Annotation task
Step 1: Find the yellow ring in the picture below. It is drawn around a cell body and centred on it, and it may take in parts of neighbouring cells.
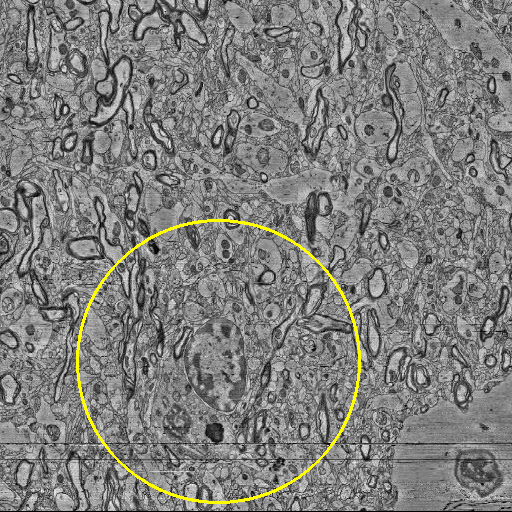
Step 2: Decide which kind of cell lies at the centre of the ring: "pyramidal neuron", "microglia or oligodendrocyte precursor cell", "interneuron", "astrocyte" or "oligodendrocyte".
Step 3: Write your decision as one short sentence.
The kind of cell at the ring's centre is a microglial cell or oligodendrocyte precursor cell.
